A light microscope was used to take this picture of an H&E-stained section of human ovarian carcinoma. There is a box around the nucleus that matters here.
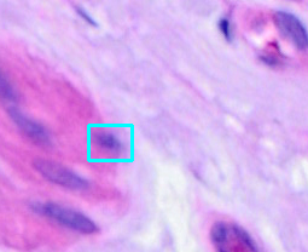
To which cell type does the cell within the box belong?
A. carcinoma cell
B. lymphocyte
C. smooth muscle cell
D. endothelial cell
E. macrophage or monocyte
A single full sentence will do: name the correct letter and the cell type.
The accurate option is C, with the cell within the box being a smooth muscle cell.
